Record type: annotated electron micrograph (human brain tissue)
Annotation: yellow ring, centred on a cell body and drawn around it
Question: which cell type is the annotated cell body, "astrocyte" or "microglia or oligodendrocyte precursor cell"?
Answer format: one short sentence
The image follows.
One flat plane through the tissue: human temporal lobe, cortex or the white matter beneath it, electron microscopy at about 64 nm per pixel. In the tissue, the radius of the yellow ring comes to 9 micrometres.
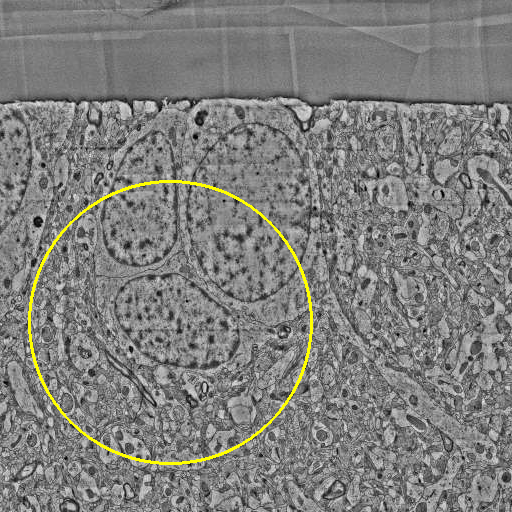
The annotated cell body is that of a microglial cell or oligodendrocyte precursor cell.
